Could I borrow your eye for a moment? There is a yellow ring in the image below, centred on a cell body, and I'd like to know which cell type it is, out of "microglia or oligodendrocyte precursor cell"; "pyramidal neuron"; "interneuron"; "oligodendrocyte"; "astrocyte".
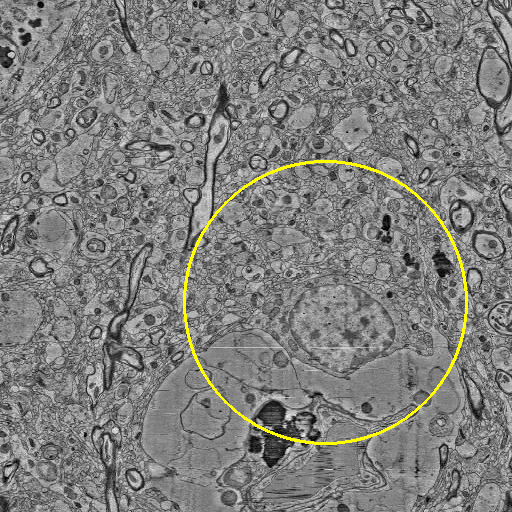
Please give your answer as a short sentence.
The cell body at the centre is that of an oligodendrocyte.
